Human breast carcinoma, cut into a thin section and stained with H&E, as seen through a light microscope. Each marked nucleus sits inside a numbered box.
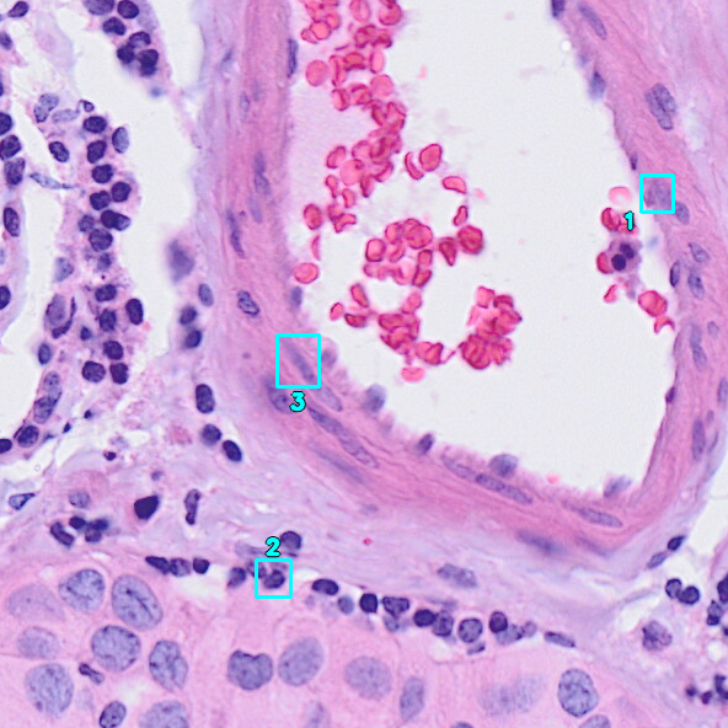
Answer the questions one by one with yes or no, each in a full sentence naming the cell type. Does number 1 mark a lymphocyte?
No, cell 1 is to be read as an endothelial cell, not a lymphocyte.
